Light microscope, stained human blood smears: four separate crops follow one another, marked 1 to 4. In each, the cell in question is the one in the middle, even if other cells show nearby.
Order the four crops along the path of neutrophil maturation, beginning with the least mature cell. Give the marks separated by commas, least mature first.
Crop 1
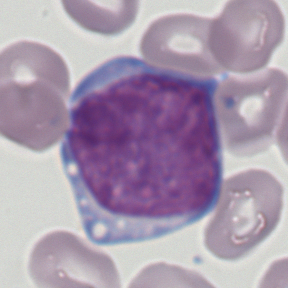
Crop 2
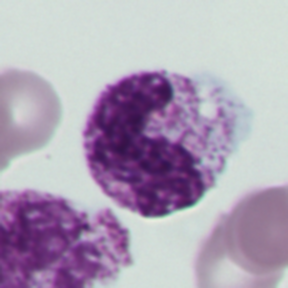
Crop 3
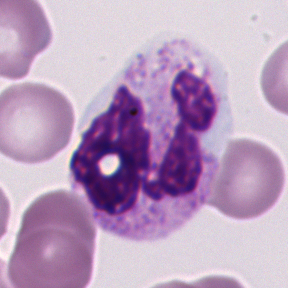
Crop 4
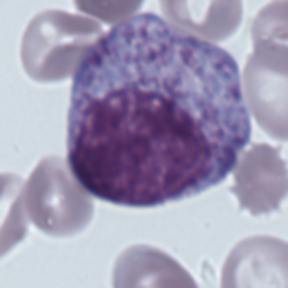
1, 4, 2, 3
